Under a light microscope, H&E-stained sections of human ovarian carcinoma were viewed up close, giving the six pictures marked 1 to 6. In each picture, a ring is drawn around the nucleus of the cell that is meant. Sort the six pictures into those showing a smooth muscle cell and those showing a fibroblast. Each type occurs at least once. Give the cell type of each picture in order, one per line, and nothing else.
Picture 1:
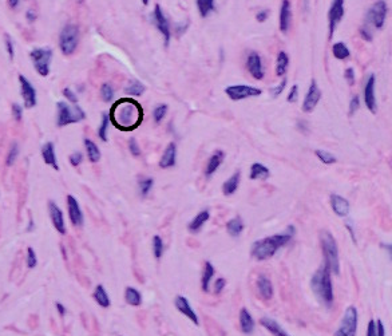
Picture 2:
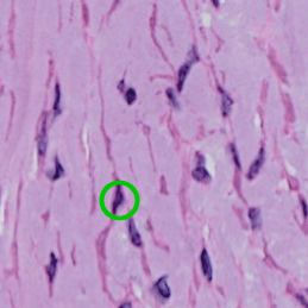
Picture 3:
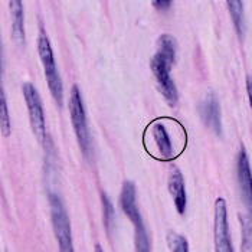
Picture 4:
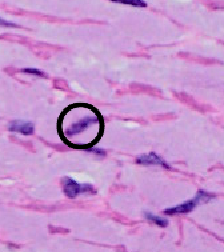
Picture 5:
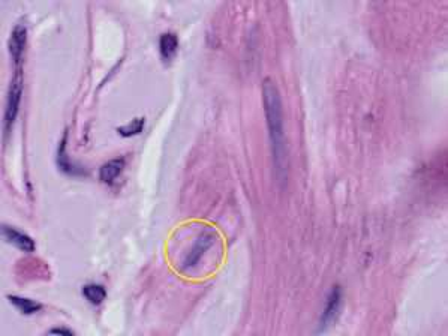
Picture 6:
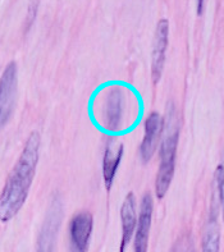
smooth muscle cell
fibroblast
smooth muscle cell
fibroblast
smooth muscle cell
smooth muscle cell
